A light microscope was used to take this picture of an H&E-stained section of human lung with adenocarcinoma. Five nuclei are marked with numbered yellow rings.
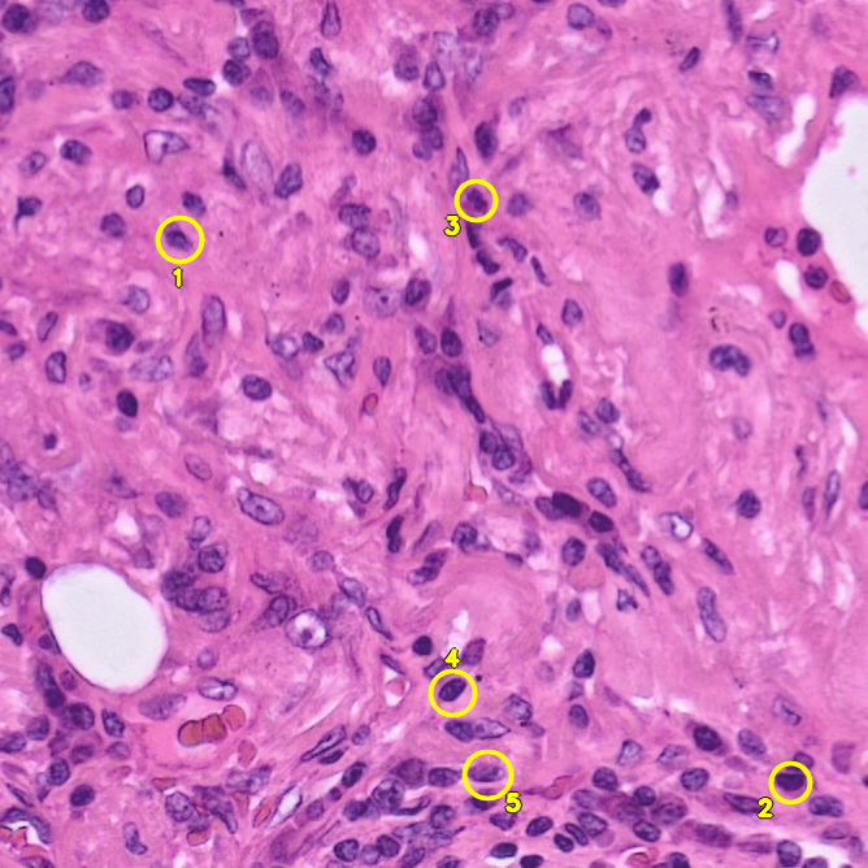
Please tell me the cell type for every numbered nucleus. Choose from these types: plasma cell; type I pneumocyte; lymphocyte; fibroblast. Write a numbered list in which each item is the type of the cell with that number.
1. lymphocyte
2. plasma cell
3. plasma cell
4. lymphocyte
5. lymphocyte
